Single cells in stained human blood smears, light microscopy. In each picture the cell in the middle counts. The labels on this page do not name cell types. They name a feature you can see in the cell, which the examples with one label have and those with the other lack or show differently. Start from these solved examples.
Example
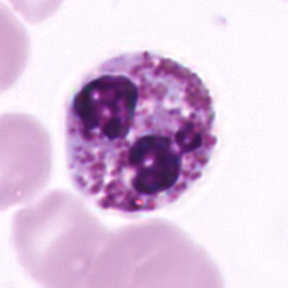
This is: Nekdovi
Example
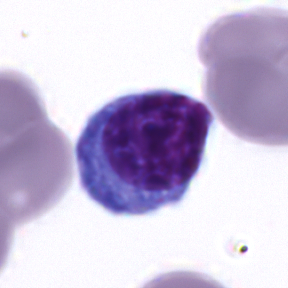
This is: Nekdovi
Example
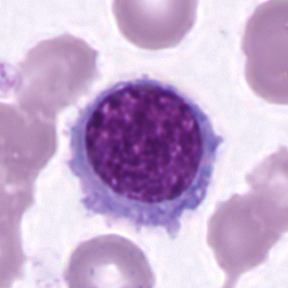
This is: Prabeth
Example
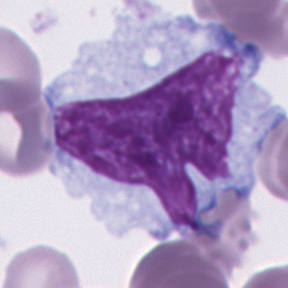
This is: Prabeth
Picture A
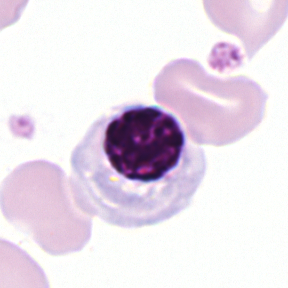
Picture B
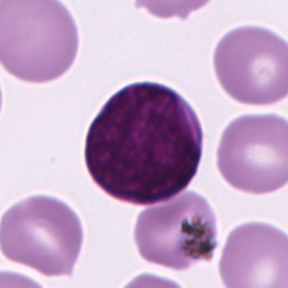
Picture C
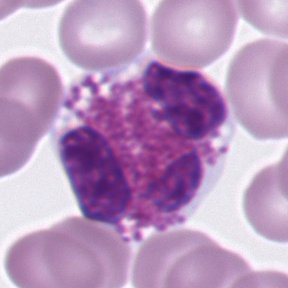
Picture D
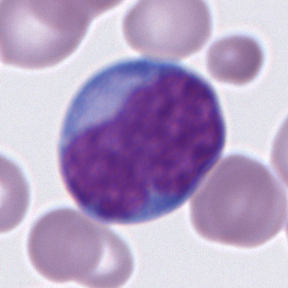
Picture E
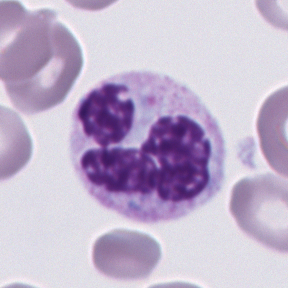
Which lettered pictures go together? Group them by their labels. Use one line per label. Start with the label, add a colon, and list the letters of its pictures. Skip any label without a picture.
Nekdovi: A, B, D, E
Prabeth: C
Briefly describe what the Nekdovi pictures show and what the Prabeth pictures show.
Nekdovi: smooth outline; Prabeth: ragged outline or projections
